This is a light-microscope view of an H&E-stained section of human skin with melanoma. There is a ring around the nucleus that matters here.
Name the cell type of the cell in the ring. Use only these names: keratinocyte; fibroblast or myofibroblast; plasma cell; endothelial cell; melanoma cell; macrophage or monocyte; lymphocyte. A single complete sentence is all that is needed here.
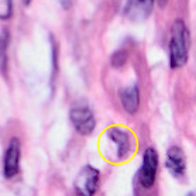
Recorded by type, the cell in the ring is a fibroblast or myofibroblast.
